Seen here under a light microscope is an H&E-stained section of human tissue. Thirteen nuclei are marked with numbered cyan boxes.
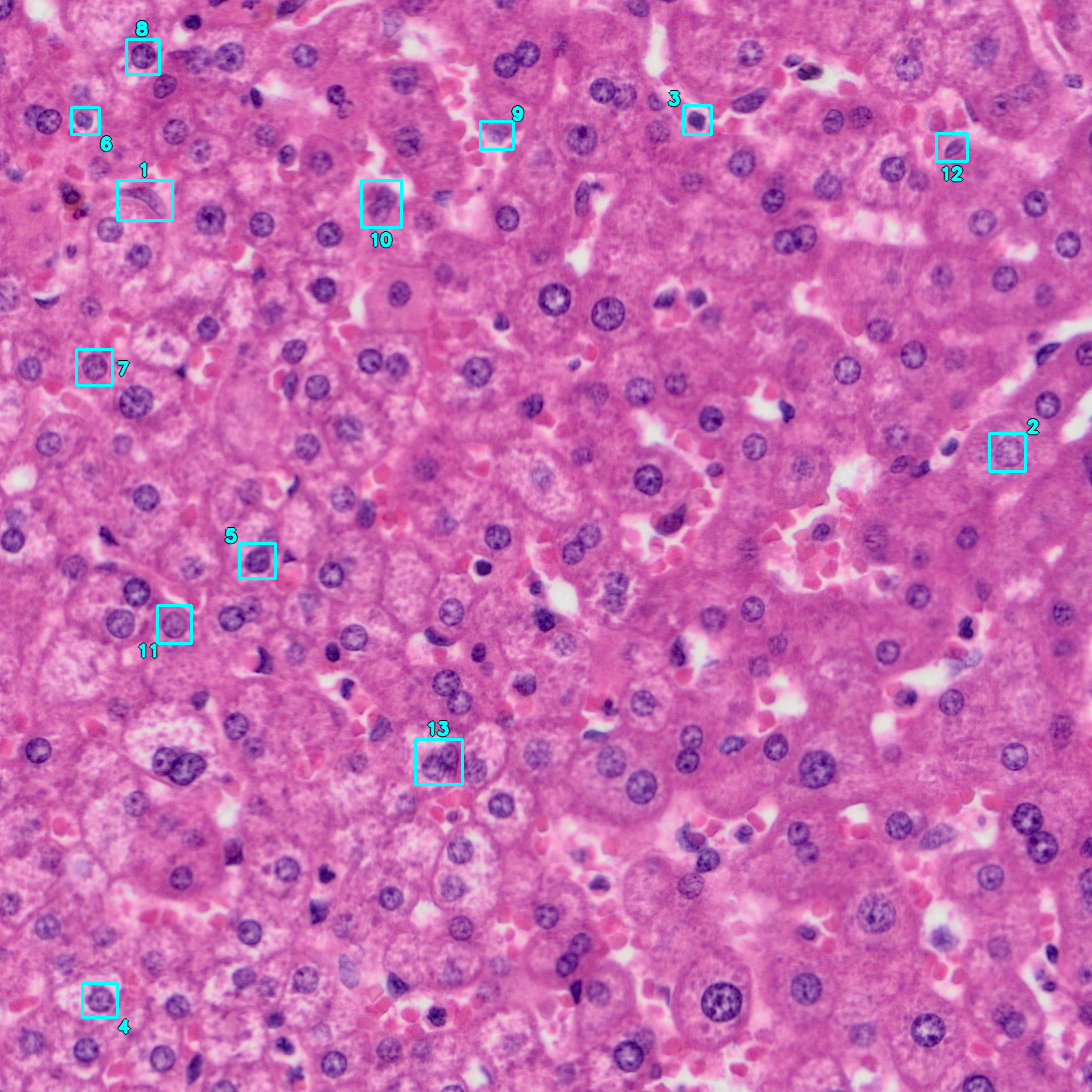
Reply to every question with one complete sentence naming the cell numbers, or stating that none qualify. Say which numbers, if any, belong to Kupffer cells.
The cells the numbers 1, 9 and 10 point to are Kupffer cells.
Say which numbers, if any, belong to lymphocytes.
The cells carrying labels 3 and 6 are lymphocytes.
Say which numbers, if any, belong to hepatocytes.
When it comes to cells 2, 4, 5, 7, 8, 11 and 13, they are hepatocytes.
